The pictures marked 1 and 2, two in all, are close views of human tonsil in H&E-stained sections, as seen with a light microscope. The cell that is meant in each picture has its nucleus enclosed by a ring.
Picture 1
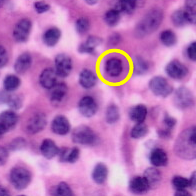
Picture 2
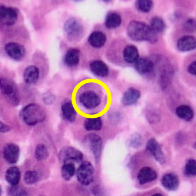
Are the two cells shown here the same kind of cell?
yes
